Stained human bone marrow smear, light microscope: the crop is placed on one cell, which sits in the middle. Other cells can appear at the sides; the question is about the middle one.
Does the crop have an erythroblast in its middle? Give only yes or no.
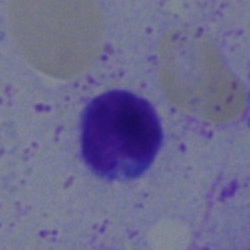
no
